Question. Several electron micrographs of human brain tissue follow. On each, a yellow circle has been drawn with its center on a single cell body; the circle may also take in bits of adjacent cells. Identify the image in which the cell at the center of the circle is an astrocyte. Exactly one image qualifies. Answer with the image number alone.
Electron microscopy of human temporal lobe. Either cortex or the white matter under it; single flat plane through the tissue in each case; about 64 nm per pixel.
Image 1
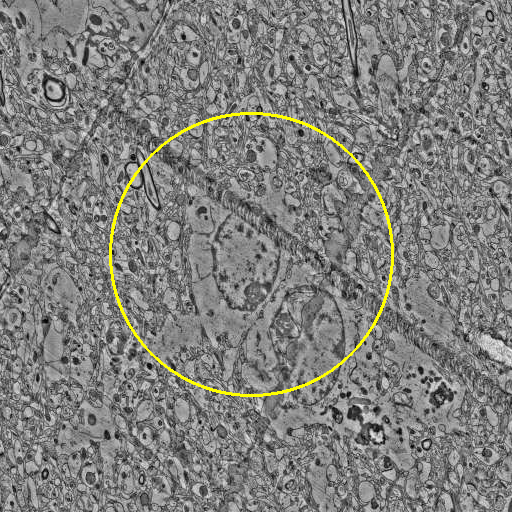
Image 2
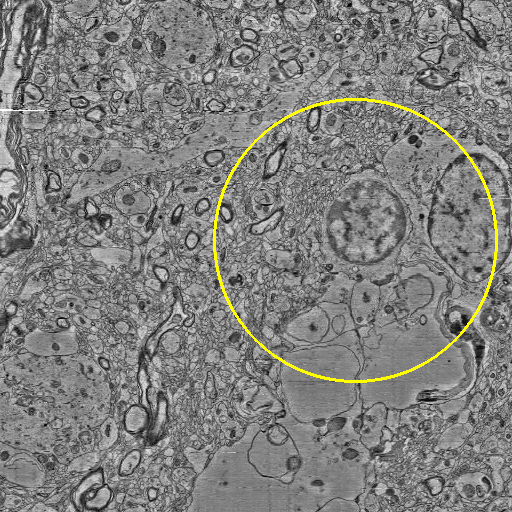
1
